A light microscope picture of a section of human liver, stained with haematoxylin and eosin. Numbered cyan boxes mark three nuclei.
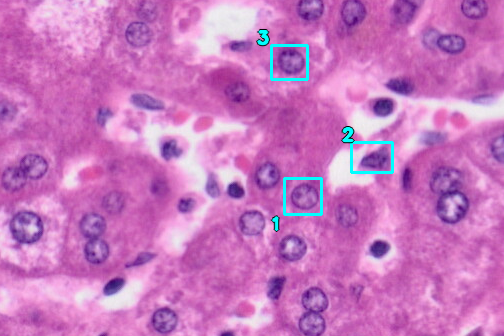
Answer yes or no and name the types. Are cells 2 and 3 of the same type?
No, classify cell 2 as a Kupffer cell and cell 3 as a hepatocyte.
